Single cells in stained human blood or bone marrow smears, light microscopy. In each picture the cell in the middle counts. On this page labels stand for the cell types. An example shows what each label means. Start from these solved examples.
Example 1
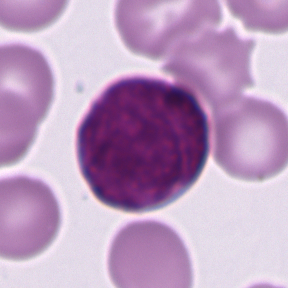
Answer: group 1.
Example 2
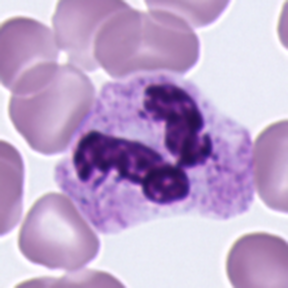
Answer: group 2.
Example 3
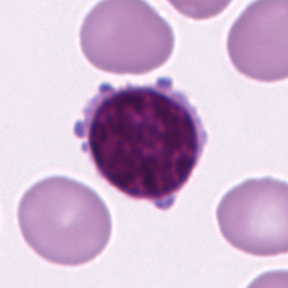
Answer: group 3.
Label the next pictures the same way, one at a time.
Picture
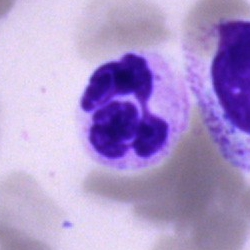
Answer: group 2.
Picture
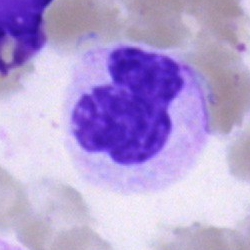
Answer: group 2.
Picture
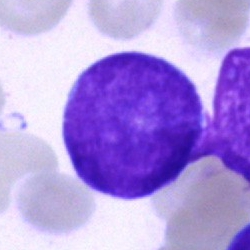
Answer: group 1.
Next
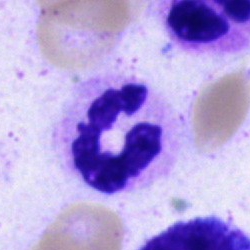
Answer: group 2.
